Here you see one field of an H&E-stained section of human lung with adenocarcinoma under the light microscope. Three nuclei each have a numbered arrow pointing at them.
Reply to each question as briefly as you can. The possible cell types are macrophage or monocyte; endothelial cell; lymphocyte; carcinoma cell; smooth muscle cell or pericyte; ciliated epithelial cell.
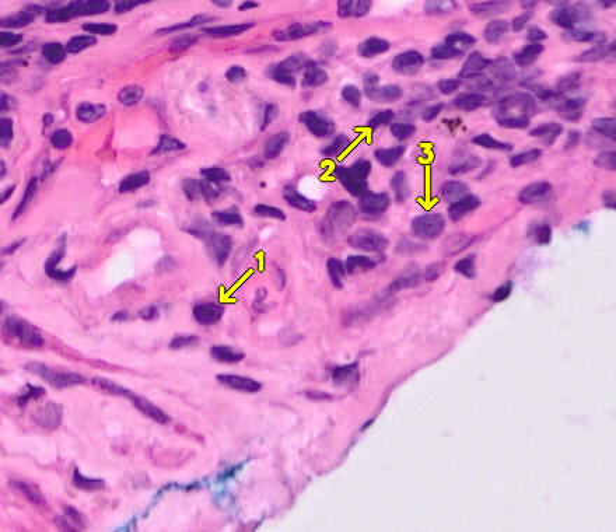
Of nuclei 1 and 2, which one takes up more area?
1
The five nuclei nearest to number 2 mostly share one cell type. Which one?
lymphocyte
